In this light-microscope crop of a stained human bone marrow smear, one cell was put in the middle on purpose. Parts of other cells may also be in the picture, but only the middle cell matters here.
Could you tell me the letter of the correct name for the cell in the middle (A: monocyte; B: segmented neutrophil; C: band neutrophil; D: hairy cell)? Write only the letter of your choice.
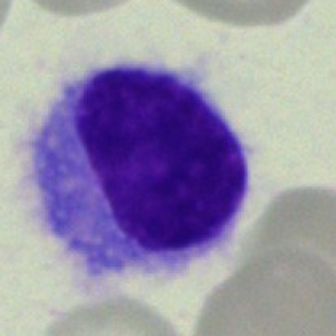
D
